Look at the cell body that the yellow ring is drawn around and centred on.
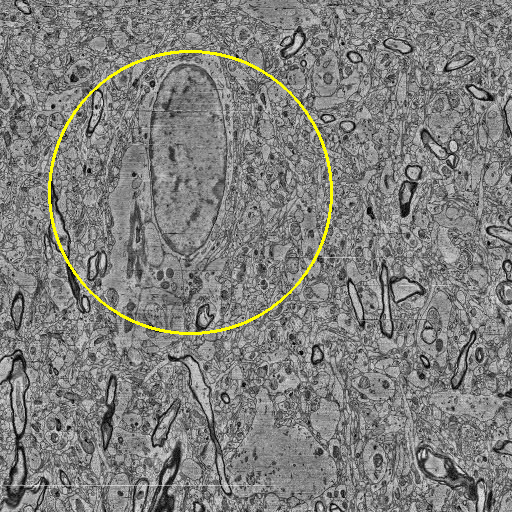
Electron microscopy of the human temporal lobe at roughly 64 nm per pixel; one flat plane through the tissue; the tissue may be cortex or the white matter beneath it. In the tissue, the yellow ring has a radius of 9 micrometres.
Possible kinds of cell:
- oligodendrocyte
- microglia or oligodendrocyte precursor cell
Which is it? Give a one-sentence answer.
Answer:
The centred cell body is that of a microglial cell or oligodendrocyte precursor cell.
